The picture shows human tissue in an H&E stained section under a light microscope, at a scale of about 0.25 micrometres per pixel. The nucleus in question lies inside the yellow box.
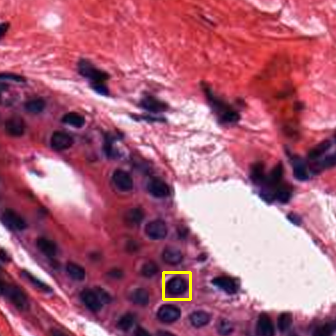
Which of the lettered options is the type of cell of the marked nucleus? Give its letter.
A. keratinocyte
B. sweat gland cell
B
